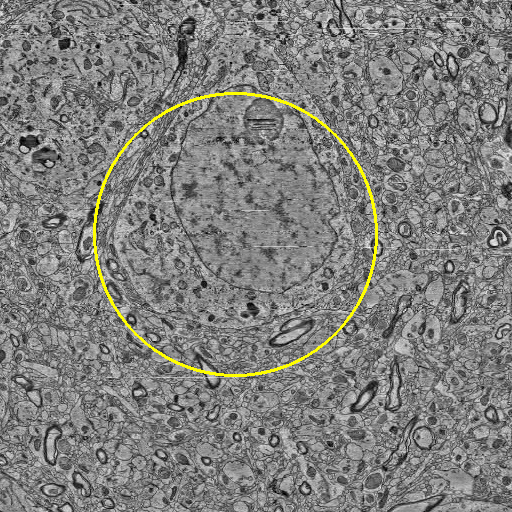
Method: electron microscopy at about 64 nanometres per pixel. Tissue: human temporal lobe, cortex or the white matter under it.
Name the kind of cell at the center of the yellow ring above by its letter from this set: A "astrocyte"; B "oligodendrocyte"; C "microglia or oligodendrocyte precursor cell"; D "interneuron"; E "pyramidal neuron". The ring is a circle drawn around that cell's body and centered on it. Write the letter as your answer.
E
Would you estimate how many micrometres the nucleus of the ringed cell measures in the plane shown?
In this plane, the nucleus of the cell at the centre of the ring measures about 14 by 11 micrometres.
